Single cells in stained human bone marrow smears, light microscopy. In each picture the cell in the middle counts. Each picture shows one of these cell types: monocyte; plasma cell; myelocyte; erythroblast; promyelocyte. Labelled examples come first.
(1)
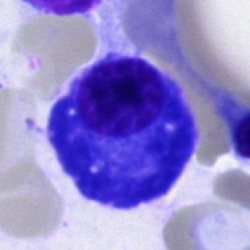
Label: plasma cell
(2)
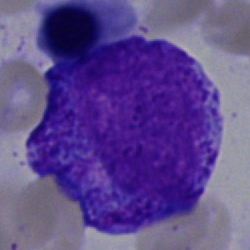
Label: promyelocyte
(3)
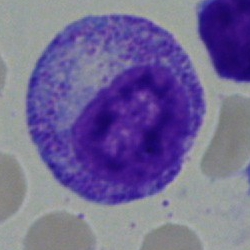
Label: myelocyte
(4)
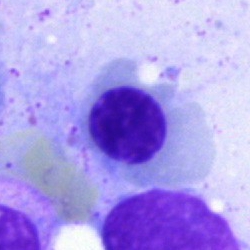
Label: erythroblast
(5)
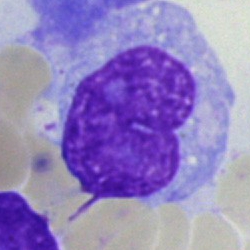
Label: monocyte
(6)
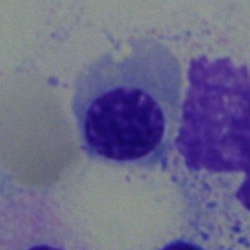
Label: erythroblast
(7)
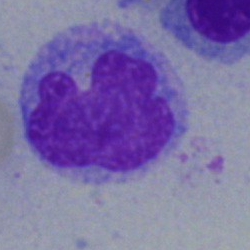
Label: monocyte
